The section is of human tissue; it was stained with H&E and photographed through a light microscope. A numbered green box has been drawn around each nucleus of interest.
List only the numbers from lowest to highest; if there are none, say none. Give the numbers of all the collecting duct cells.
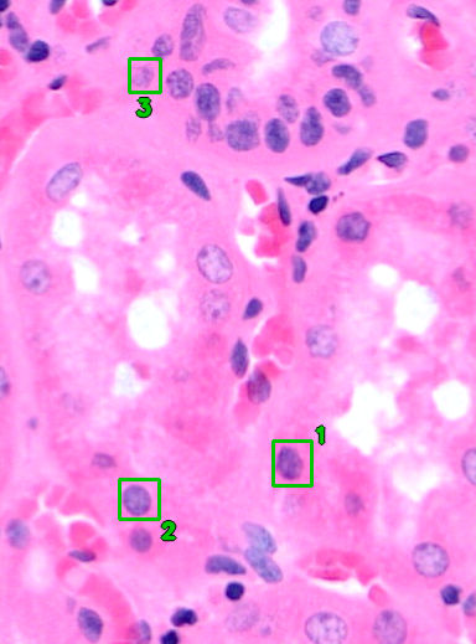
3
